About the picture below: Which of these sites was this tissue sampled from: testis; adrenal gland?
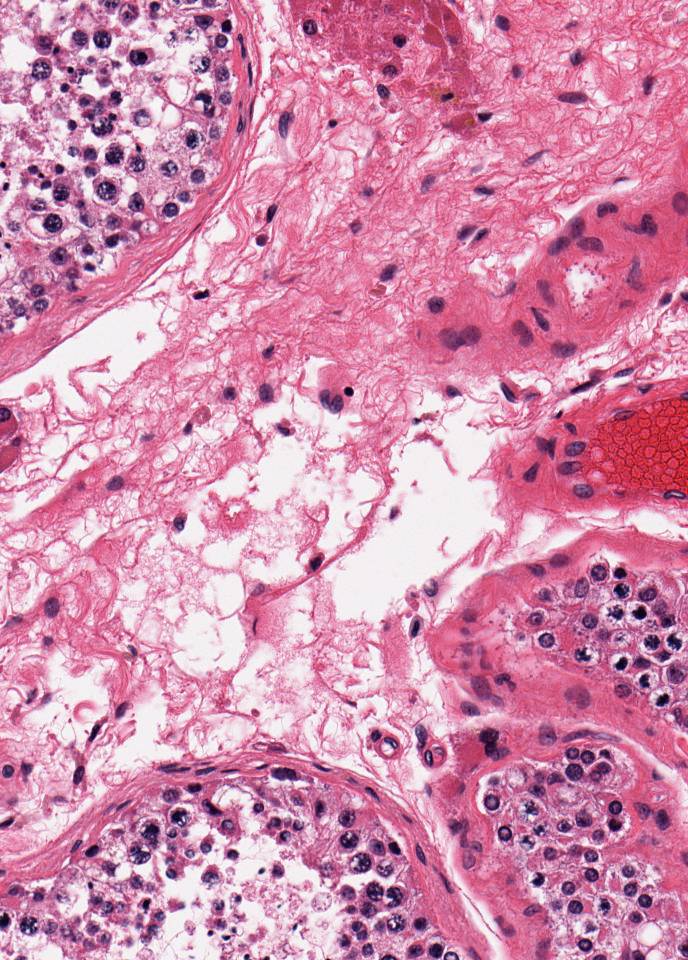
testis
